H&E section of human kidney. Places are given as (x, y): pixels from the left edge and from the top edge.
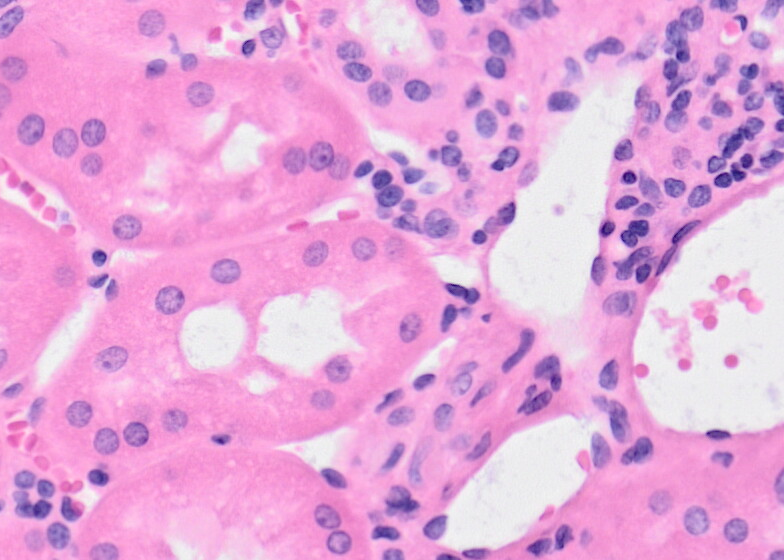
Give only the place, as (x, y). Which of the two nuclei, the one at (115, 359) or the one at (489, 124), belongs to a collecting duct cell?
(489, 124)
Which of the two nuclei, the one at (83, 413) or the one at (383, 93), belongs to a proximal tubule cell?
(83, 413)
